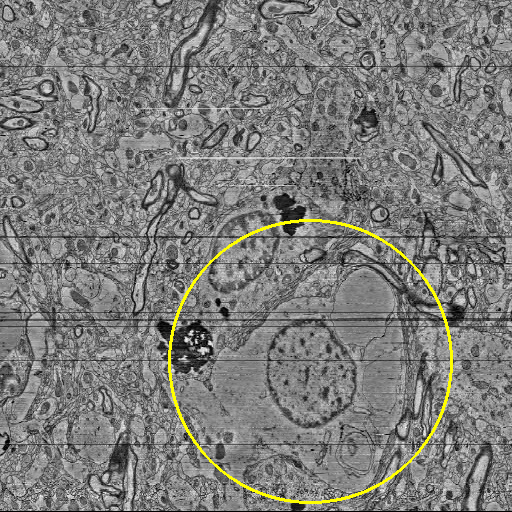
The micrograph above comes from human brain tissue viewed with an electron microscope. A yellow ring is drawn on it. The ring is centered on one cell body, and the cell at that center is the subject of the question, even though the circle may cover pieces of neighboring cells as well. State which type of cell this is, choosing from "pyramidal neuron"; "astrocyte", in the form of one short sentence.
The cell the ring is centered on is an astrocyte.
